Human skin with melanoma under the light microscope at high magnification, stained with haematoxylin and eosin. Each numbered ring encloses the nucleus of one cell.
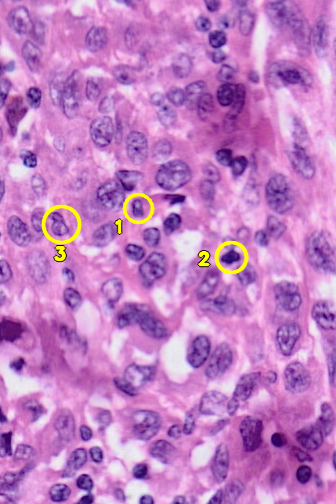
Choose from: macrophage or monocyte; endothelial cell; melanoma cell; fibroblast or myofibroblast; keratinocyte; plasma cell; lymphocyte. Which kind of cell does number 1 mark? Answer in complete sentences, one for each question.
The numbered cell 1 is identified here as a lymphocyte.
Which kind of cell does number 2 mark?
The cell numbered 2 has been identified as a lymphocyte.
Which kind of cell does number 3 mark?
The cell indicated by marker 3 is a macrophage or monocyte in this section.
